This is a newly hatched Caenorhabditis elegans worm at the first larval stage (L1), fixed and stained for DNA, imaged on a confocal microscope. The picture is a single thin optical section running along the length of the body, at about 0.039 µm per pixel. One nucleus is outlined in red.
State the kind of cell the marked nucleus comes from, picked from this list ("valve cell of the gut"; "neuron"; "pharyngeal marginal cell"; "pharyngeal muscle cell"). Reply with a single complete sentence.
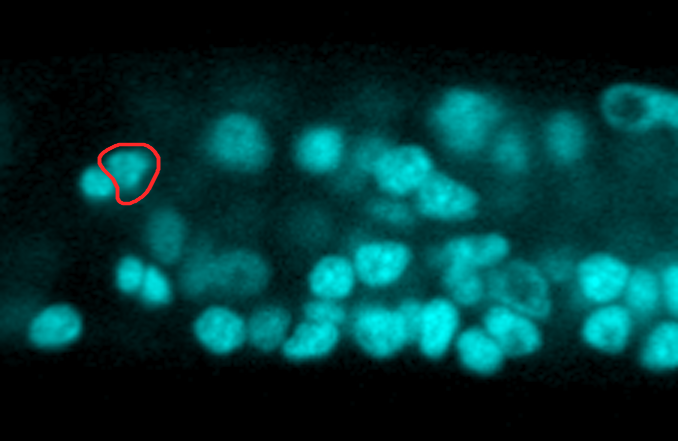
The marked nucleus is that of a valve cell of the gut.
